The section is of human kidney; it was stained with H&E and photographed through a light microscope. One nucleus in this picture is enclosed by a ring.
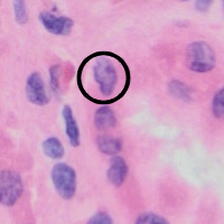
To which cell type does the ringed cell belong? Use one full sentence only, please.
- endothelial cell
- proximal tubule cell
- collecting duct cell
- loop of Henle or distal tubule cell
By its classification, the ringed cell is a proximal tubule cell.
